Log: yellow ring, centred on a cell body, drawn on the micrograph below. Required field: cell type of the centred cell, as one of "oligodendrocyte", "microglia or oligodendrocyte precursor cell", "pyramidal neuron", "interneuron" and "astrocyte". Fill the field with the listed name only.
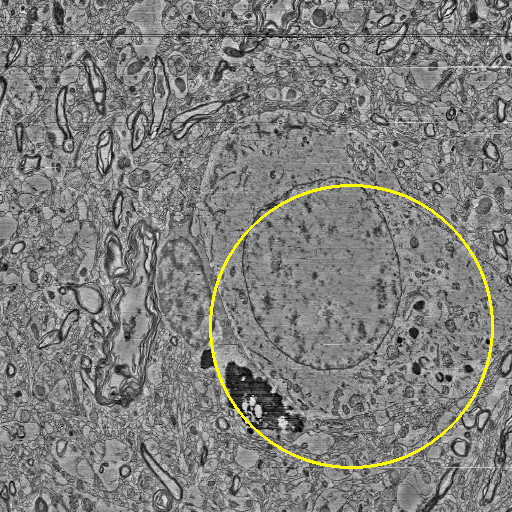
pyramidal neuron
